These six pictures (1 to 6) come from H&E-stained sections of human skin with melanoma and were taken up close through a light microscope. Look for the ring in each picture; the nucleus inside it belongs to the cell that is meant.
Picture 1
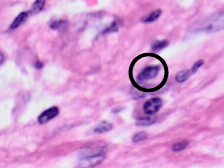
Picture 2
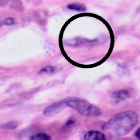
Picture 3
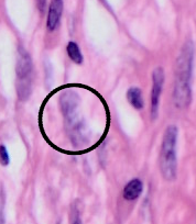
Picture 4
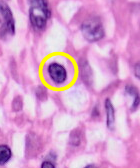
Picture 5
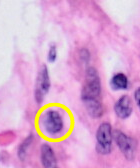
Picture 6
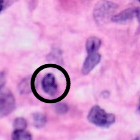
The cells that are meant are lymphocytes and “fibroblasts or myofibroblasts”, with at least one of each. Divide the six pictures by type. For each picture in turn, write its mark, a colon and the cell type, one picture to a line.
1: lymphocyte
2: fibroblast or myofibroblast
3: fibroblast or myofibroblast
4: lymphocyte
5: lymphocyte
6: lymphocyte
